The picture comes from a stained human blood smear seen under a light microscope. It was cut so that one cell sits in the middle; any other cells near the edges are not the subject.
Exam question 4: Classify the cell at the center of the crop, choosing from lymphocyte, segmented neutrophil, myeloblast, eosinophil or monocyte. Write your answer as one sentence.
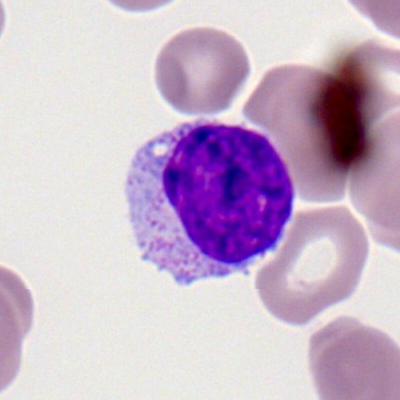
The middle position in this crop is taken by a lymphocyte.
